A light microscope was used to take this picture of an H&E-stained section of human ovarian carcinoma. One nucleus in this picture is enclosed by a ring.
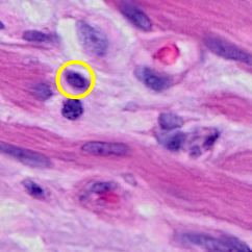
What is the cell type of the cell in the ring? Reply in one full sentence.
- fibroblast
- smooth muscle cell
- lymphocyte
Just put down that the cell in the ring is a lymphocyte.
